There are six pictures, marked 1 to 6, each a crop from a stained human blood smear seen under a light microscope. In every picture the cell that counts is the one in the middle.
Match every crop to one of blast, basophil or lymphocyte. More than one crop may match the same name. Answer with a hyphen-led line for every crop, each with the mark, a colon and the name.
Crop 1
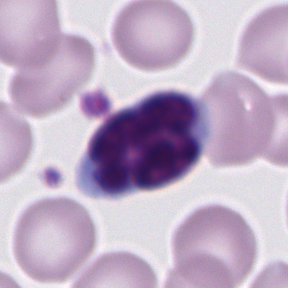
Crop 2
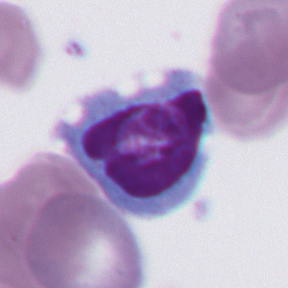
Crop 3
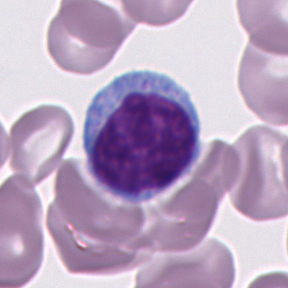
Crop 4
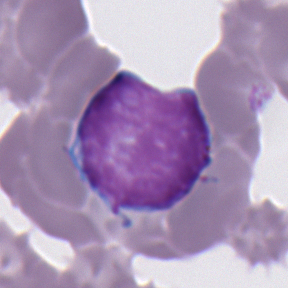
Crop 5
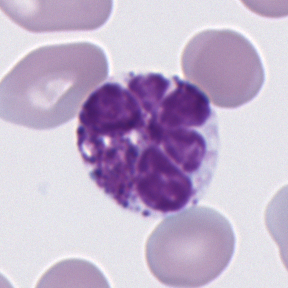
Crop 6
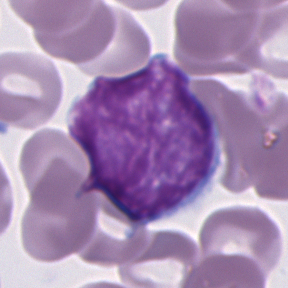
- 1: lymphocyte
- 2: lymphocyte
- 3: lymphocyte
- 4: lymphocyte
- 5: basophil
- 6: blast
